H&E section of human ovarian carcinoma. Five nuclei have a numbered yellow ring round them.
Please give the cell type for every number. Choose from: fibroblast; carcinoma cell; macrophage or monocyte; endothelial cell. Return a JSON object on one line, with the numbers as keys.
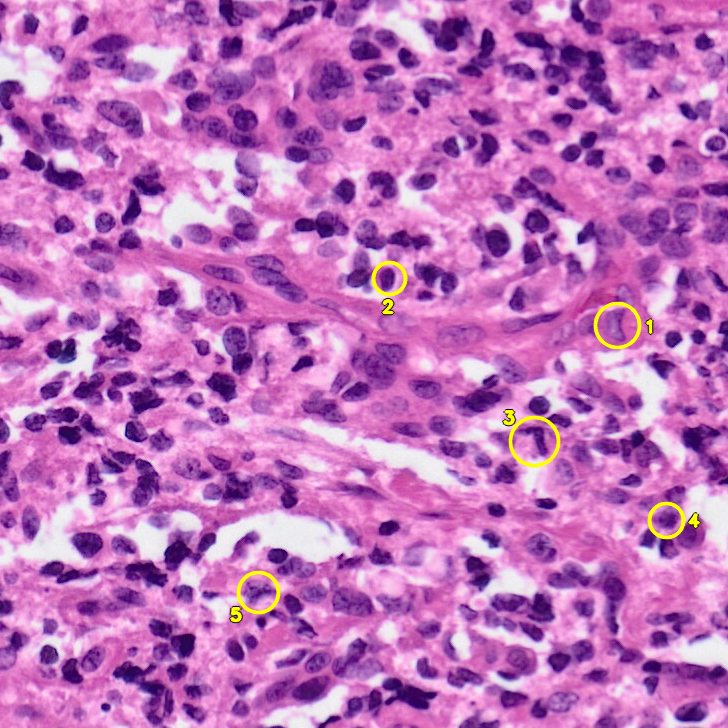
{"1": "endothelial cell", "2": "carcinoma cell", "3": "macrophage or monocyte", "4": "carcinoma cell", "5": "macrophage or monocyte"}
